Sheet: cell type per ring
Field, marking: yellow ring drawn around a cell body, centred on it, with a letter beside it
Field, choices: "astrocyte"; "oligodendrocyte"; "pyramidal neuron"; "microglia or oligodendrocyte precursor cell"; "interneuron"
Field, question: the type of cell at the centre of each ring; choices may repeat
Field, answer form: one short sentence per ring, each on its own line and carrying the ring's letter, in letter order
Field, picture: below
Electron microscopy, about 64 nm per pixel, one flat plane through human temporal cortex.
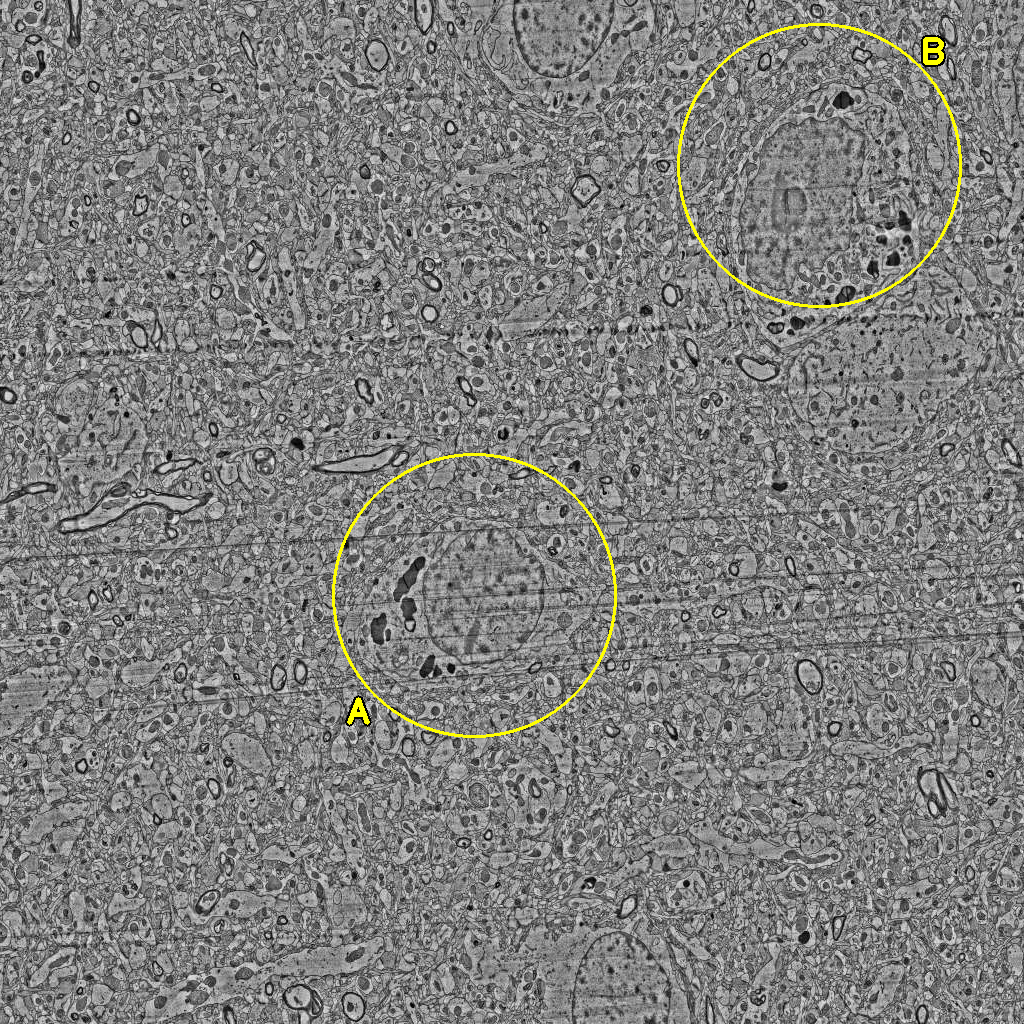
The cell body inside ring A, at its centre, is an interneuron.
The cell body inside ring B, at its centre, is an interneuron.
